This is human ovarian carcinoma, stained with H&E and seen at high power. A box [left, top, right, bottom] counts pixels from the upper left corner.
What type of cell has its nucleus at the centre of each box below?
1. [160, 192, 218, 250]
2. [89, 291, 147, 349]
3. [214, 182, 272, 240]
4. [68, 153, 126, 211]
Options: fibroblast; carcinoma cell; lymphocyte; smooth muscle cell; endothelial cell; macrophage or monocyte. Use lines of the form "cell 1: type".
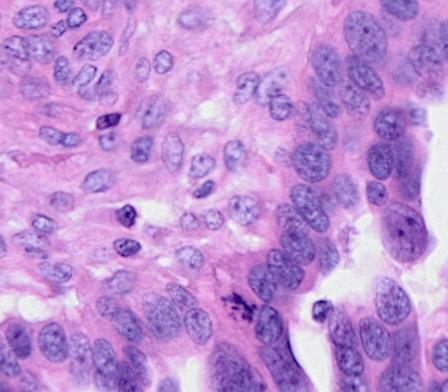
cell 1: fibroblast
cell 2: carcinoma cell
cell 3: fibroblast
cell 4: fibroblast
